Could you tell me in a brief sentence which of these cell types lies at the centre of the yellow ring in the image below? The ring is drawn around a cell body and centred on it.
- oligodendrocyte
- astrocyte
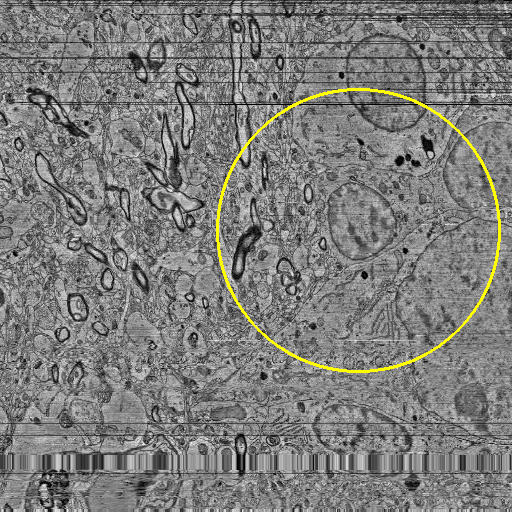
The cell centred in the ring is an oligodendrocyte.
